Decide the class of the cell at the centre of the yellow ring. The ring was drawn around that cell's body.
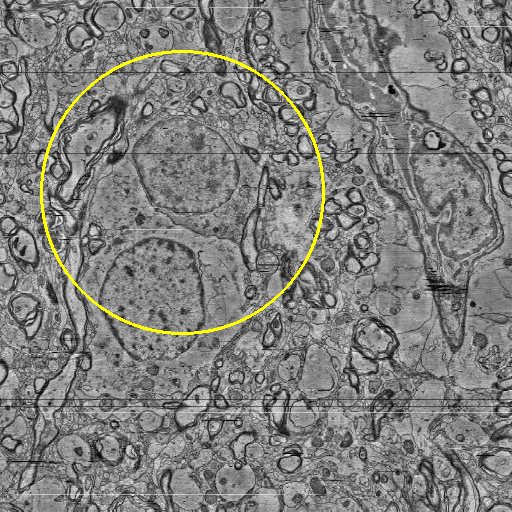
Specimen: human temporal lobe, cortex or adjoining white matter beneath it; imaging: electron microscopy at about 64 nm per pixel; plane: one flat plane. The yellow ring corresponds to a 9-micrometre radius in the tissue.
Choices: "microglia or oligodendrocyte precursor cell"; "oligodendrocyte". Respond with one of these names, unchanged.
oligodendrocyte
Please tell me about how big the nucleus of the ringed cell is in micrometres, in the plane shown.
Approximately 7 micrometers across in this plane.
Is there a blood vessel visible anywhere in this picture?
Yes, there is a blood vessel.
